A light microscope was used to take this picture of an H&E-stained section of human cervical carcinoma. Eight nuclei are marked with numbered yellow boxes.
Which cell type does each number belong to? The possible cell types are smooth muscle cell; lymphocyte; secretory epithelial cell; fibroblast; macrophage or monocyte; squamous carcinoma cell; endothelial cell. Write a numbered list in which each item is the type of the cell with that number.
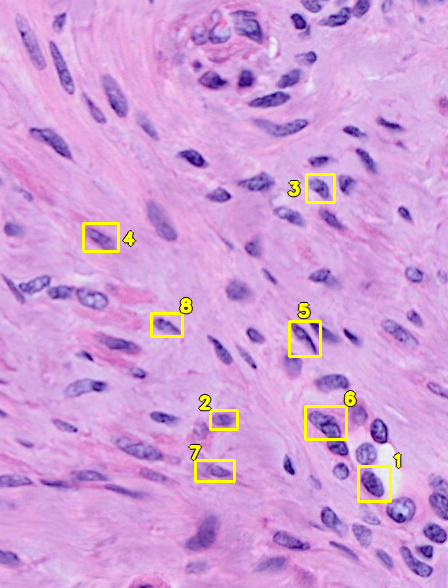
1. endothelial cell
2. smooth muscle cell
3. fibroblast
4. smooth muscle cell
5. fibroblast
6. endothelial cell
7. smooth muscle cell
8. fibroblast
